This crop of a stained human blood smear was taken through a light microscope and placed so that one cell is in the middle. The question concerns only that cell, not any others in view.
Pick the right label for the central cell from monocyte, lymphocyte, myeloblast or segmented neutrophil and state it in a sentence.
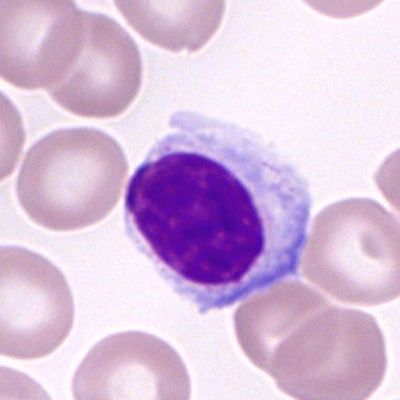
The cell under consideration, at the middle of the crop, is a lymphocyte.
